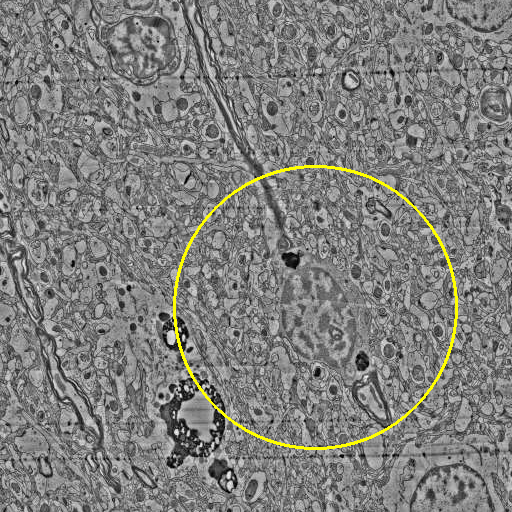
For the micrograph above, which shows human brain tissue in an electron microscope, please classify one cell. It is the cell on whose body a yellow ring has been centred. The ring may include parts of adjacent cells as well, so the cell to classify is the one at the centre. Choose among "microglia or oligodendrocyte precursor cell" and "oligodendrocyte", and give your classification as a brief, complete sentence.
I classify this cell as an oligodendrocyte.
